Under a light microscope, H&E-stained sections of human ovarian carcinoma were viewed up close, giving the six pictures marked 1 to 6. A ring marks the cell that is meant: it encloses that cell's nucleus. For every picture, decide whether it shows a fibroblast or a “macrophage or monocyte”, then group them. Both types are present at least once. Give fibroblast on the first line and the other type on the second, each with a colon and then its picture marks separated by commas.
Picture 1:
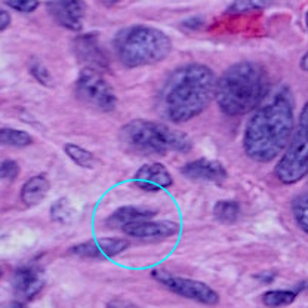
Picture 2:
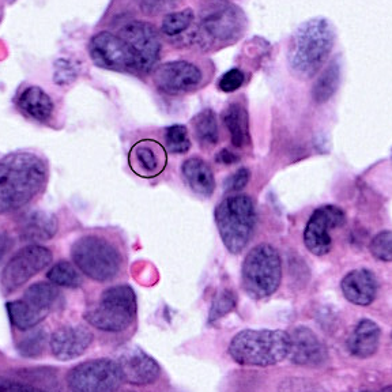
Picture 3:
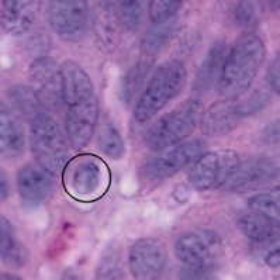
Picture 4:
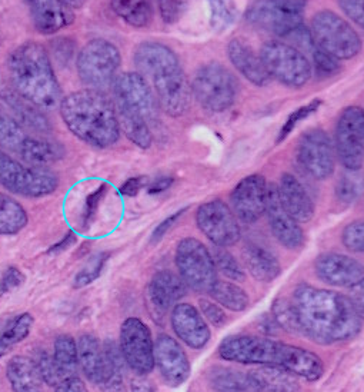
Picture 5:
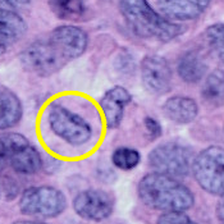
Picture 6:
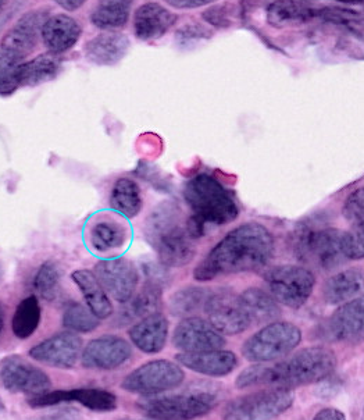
fibroblast: 1, 4
macrophage or monocyte: 2, 3, 5, 6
